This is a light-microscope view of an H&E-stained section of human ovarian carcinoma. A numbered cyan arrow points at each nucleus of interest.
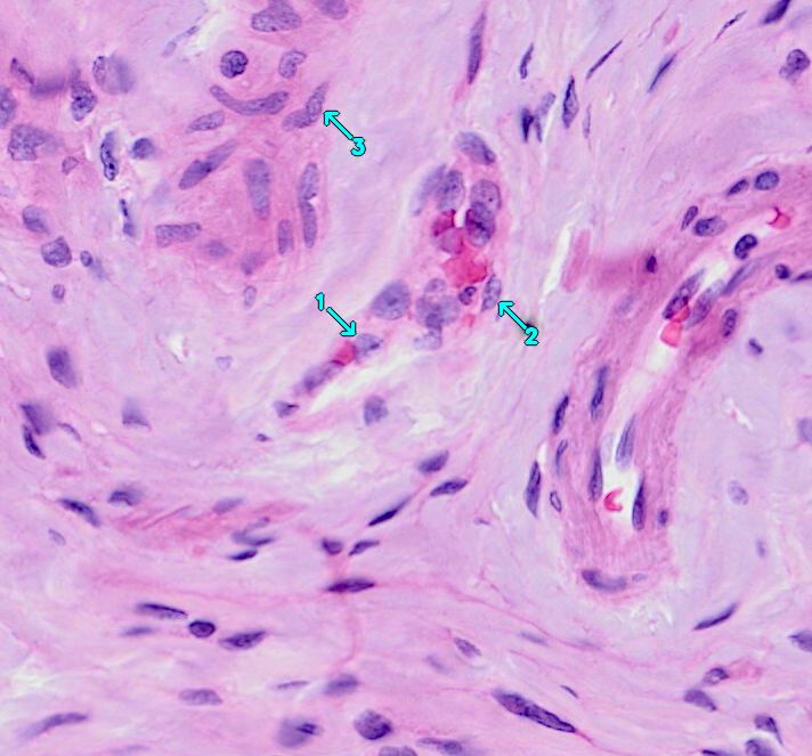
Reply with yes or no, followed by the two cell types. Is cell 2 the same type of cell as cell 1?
Yes, going by number, cells 2 and 1 are both endothelial cells.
